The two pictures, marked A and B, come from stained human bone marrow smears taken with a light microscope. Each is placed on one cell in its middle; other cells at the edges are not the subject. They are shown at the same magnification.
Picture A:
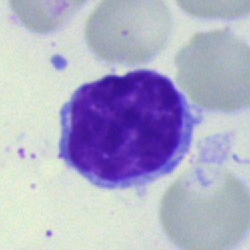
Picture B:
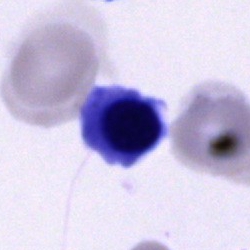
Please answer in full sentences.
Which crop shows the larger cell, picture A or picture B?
Picture A holds the larger cell; it covers about 2.5 times the area of the cell in picture B.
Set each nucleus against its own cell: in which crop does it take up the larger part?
It is the cell in picture A that is filled more by its nucleus.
